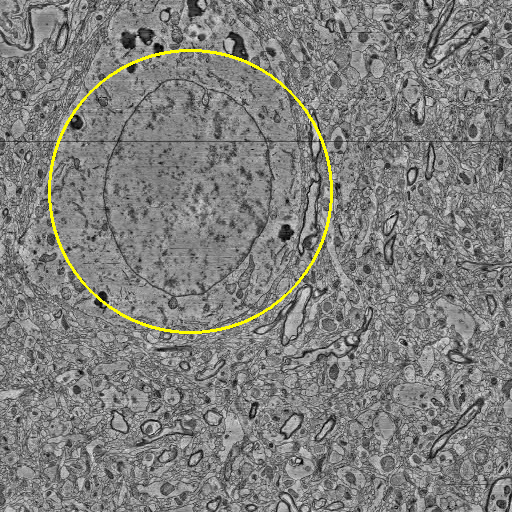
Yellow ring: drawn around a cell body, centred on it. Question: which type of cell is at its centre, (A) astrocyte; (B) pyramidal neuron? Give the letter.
B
